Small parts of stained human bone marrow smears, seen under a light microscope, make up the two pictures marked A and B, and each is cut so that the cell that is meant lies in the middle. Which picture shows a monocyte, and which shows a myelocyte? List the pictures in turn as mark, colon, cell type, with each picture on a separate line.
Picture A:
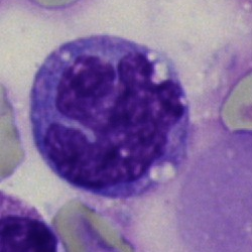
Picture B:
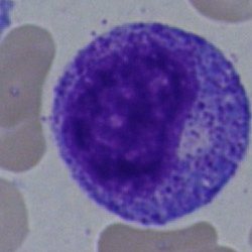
A: monocyte
B: myelocyte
